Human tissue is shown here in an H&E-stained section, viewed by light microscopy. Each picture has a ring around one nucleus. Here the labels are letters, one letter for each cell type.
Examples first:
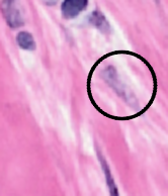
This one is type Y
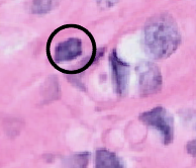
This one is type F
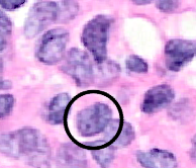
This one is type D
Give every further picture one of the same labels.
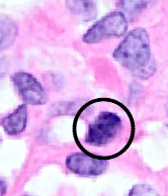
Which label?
type D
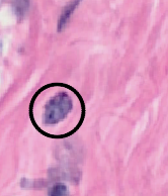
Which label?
type F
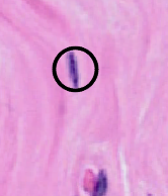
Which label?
type Y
